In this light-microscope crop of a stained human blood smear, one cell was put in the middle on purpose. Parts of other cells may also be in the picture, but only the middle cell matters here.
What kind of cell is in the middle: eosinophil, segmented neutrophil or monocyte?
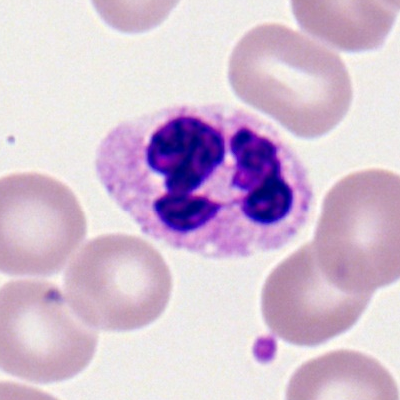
segmented neutrophil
